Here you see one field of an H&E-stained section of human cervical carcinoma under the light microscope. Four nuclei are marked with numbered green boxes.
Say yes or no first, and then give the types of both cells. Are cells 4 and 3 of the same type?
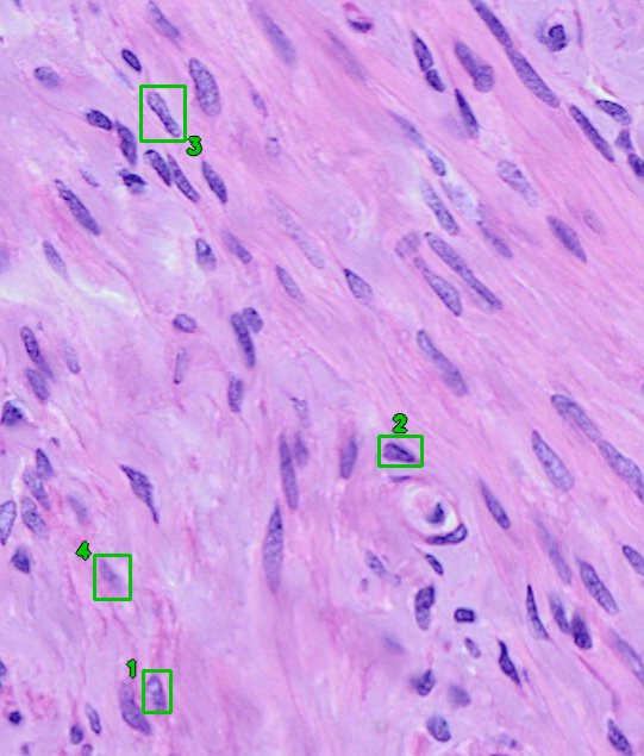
No, not so; cell 4 is a smooth muscle cell and cell 3 is a fibroblast.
